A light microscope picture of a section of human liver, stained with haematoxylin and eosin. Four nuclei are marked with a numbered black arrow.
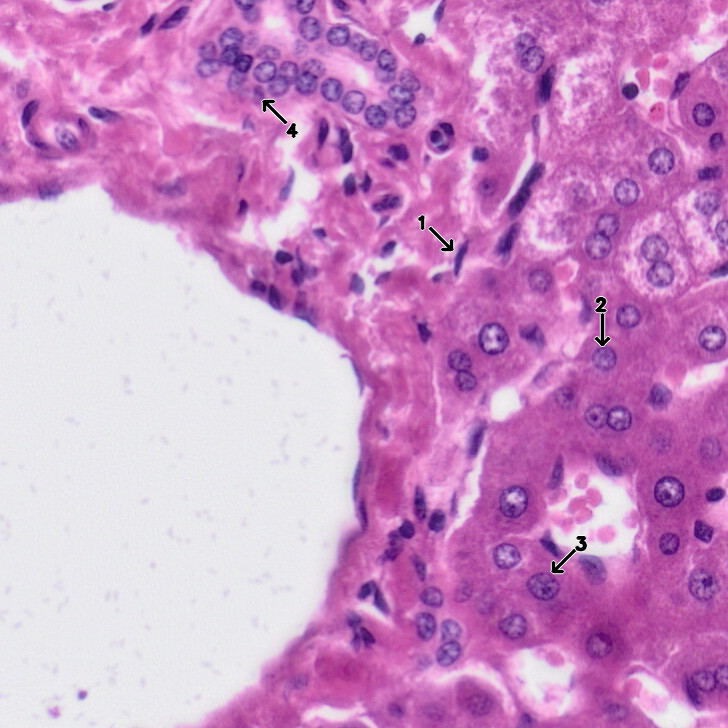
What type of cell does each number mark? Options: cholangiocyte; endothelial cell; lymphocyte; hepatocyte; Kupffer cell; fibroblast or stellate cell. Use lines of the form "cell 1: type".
cell 1: fibroblast or stellate cell
cell 2: hepatocyte
cell 3: hepatocyte
cell 4: cholangiocyte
